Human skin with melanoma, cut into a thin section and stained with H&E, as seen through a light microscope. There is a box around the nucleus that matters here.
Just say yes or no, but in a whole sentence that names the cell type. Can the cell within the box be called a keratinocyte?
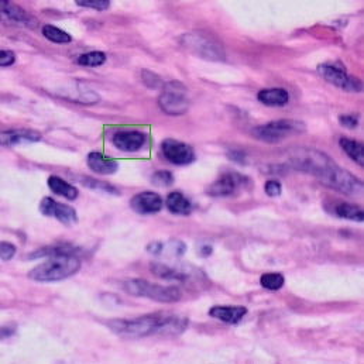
No; the cell within the box should be labelled a plasma cell rather than a keratinocyte.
